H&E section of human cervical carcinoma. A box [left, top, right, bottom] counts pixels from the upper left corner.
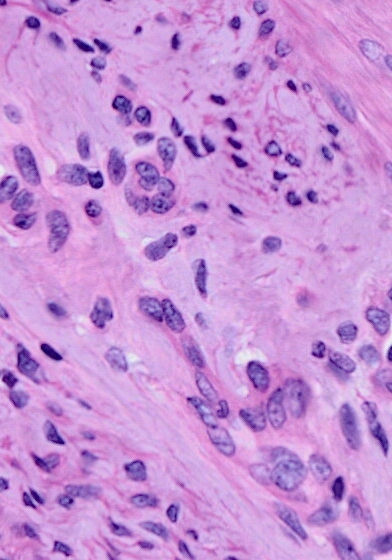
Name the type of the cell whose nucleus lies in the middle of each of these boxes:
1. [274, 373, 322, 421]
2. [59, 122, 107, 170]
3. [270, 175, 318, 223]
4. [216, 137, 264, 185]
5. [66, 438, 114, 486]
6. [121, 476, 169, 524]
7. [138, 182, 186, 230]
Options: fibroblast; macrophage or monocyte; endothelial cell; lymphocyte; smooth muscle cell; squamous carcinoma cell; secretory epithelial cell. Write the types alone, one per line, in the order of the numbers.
endothelial cell
fibroblast
smooth muscle cell
smooth muscle cell
smooth muscle cell
smooth muscle cell
endothelial cell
